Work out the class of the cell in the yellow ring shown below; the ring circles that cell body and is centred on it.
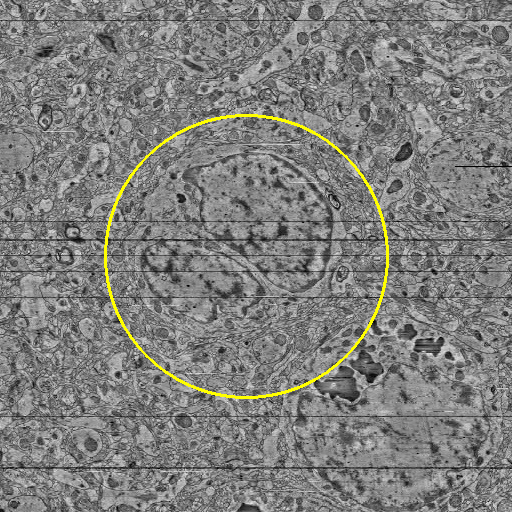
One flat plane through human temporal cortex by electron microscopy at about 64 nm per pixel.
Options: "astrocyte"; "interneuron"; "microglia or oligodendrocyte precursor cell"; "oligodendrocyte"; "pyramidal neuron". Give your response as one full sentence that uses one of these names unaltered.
The body ringed in yellow, right at the ring's centre, is that of a microglial cell or oligodendrocyte precursor cell.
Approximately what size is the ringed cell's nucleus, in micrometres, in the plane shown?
In this plane, approximately 10 by 7 micrometers.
